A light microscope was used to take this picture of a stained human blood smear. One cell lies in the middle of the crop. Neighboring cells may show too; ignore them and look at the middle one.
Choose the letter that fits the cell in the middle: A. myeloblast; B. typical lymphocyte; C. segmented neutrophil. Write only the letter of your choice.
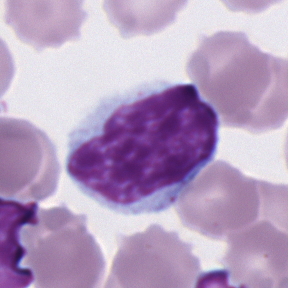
B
